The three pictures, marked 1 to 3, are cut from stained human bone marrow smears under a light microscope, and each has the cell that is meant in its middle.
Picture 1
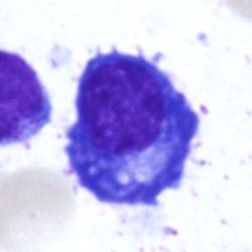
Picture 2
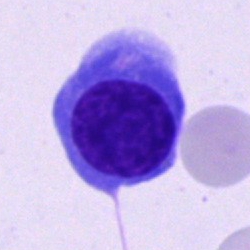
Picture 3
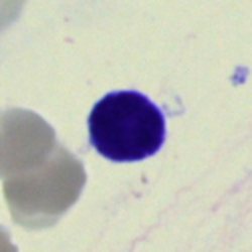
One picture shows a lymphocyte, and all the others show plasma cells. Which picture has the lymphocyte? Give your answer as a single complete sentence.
It is picture 3 that shows the lymphocyte.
